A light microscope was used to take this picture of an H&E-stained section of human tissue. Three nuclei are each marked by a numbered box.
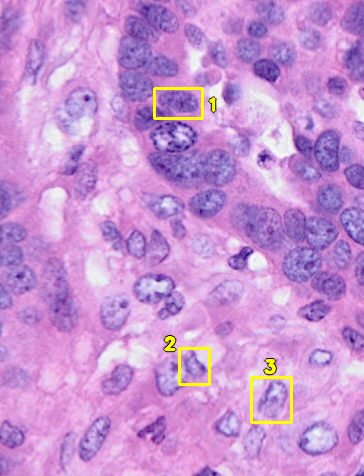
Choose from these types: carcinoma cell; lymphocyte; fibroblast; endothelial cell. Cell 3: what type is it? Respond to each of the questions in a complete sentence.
The cell that bears the number 3 is a fibroblast.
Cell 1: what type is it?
The cell referenced by the number 1 is a carcinoma cell in this field.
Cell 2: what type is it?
The mark numbered 2 indicates the nucleus of a fibroblast.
